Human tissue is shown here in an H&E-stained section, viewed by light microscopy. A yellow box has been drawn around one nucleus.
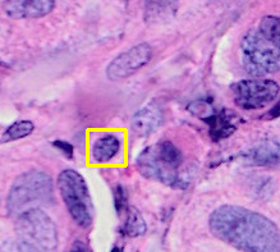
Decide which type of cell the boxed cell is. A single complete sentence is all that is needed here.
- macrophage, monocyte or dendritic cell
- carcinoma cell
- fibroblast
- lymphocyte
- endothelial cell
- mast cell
As a matter of cell type, the boxed cell is a mast cell.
